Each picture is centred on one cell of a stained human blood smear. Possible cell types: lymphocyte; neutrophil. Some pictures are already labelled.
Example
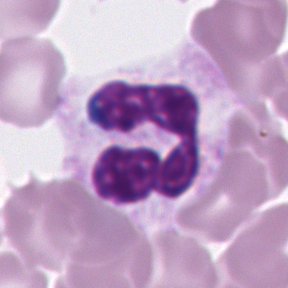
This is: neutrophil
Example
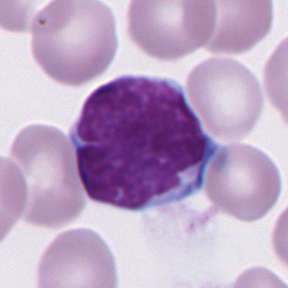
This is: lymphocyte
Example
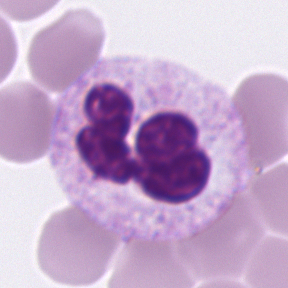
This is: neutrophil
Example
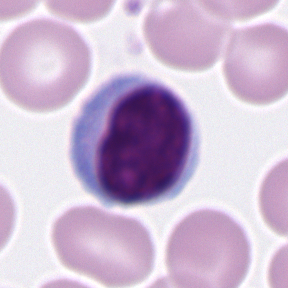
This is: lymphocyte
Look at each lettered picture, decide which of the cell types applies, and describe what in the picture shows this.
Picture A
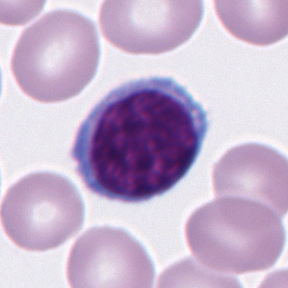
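Label: lymphocyte. The cytoplasm forms a narrow rim that is widest on the left side of the nucleus.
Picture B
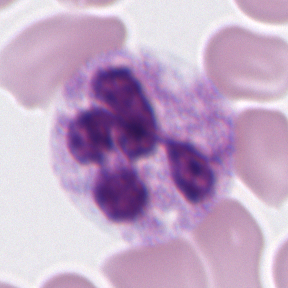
Label: neutrophil. The cytoplasm is plentiful and pale pinkish-lilac.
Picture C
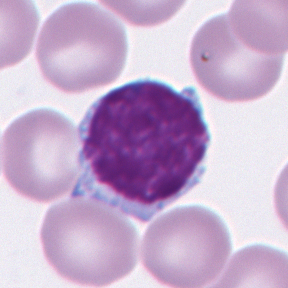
Label: lymphocyte. The cytoplasm forms only a narrow rim around the nucleus.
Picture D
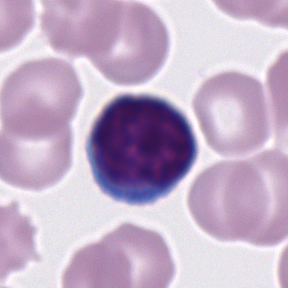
Label: lymphocyte. The cytoplasm forms only a thin rim beside the nucleus.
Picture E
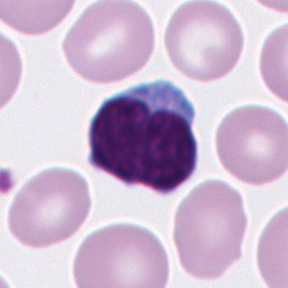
Label: lymphocyte. The cytoplasm forms a narrow cap mainly along the upper edge of the cell.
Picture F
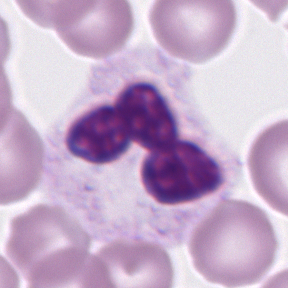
Label: neutrophil. The nucleus is divided into three lobes.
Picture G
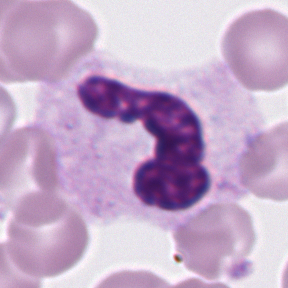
Label: neutrophil. The cytoplasm is plentiful relative to the nucleus.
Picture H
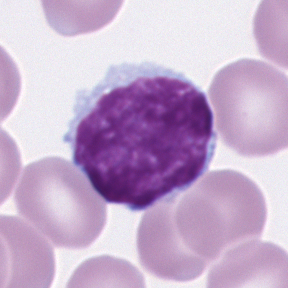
Label: lymphocyte. The cytoplasm is a scant pale blue rim that is widest at the upper left.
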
